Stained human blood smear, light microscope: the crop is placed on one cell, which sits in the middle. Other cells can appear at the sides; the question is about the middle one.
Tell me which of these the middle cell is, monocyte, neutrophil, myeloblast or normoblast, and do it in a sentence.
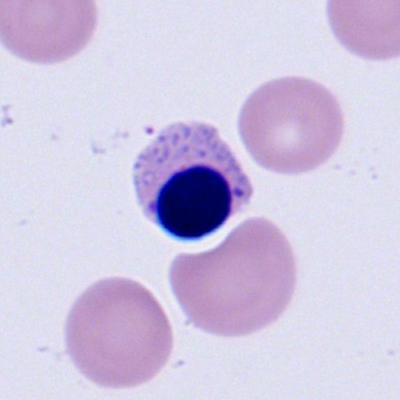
The crop's centre is taken up by a normoblast.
